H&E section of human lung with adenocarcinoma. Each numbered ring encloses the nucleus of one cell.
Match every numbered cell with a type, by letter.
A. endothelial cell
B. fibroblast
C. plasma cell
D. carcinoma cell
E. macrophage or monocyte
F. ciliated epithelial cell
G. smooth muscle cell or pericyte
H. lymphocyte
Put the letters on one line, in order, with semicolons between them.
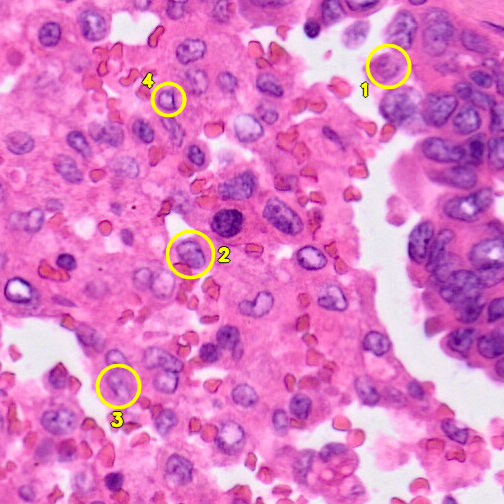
D; E; E; E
